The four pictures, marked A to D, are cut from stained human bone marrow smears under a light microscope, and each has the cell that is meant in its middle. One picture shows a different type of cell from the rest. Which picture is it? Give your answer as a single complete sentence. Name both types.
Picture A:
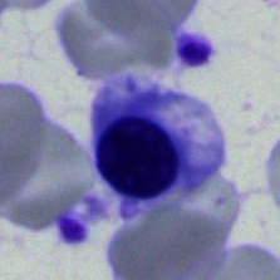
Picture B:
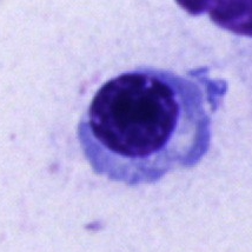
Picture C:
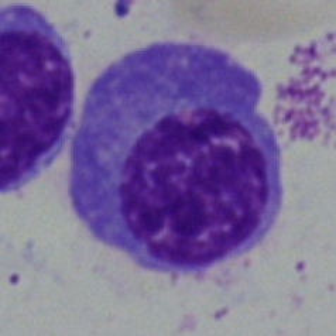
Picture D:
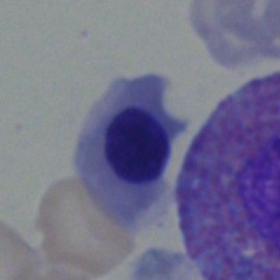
Picture C differs, because its cell is a plasma cell and the rest are erythroblasts.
